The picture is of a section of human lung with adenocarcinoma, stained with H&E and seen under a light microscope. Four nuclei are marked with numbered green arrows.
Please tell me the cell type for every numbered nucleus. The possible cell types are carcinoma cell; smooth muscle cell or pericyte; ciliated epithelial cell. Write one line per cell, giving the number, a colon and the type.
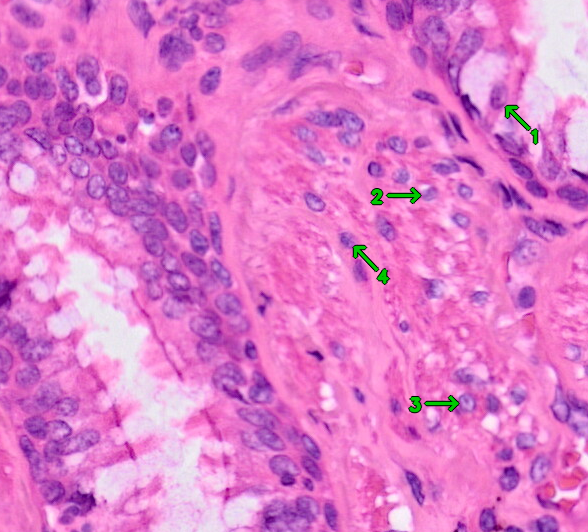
1: ciliated epithelial cell
2: smooth muscle cell or pericyte
3: smooth muscle cell or pericyte
4: smooth muscle cell or pericyte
